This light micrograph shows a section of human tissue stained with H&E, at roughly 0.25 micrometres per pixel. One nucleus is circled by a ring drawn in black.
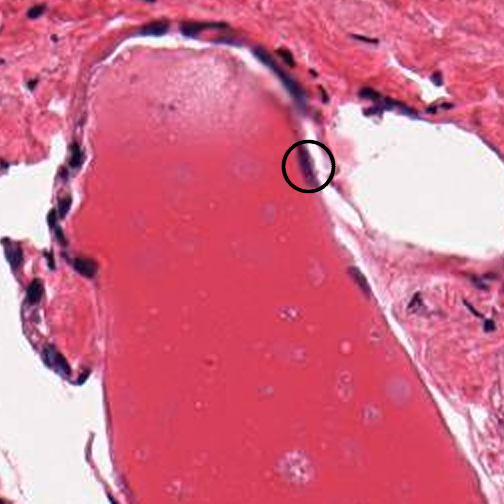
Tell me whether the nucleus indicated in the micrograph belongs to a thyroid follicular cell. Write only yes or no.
yes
